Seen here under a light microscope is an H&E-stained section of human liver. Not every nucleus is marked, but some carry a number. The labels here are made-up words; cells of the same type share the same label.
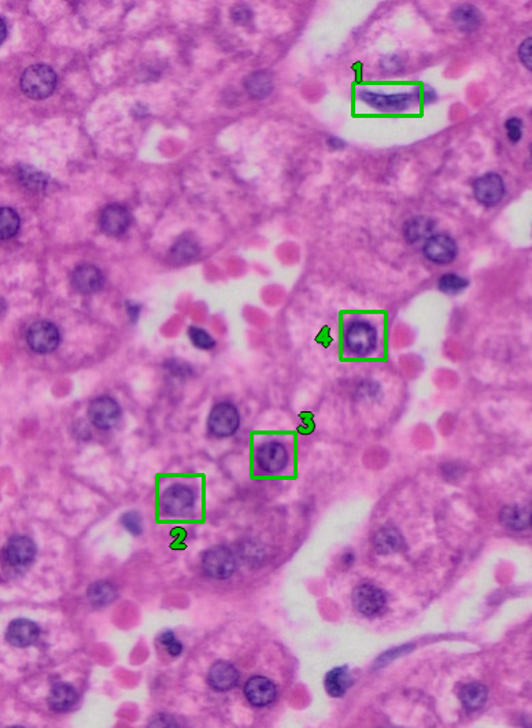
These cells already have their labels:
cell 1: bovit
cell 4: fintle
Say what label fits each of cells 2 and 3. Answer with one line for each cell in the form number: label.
2: fintle
3: fintle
